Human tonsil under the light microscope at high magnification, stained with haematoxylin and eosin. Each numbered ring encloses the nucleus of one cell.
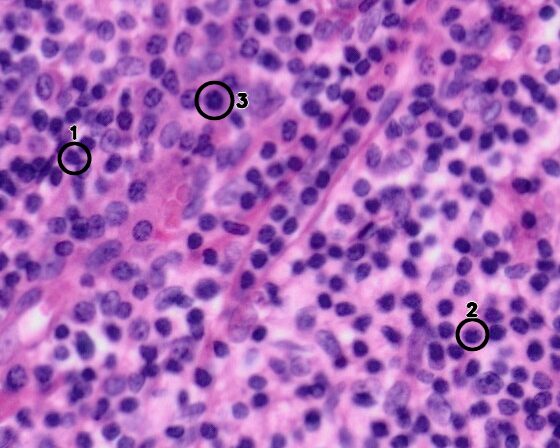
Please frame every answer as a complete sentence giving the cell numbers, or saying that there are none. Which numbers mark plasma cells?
Cell 3 is the one numbered cell that is a plasma cell.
